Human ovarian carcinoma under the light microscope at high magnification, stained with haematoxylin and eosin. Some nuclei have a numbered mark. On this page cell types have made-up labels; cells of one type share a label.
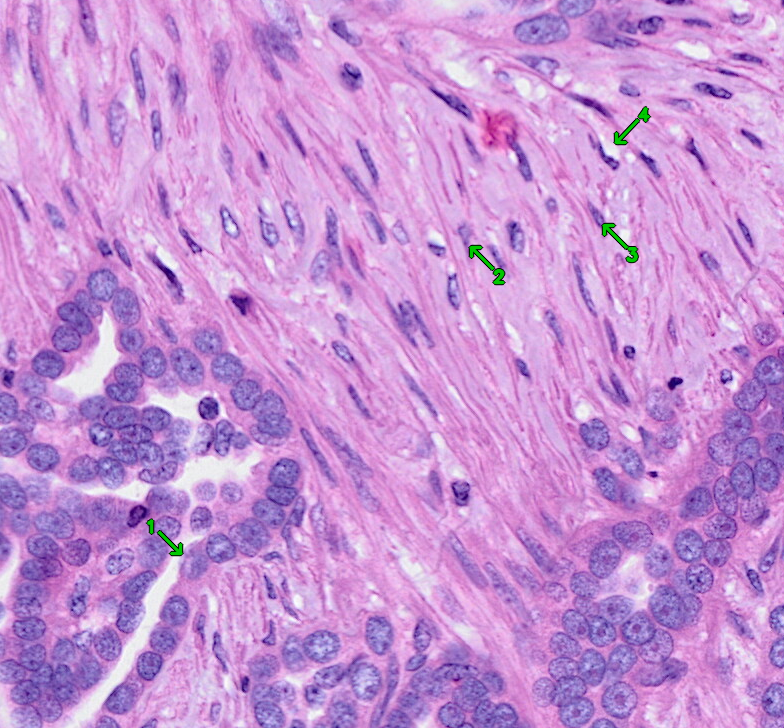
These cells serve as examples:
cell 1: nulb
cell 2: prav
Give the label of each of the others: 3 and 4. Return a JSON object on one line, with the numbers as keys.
{"3": "prav", "4": "prav"}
